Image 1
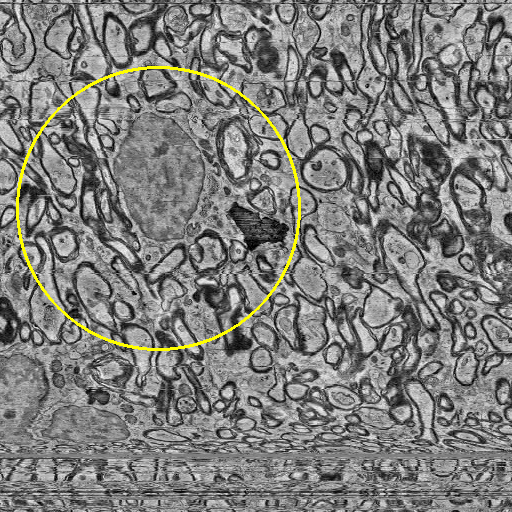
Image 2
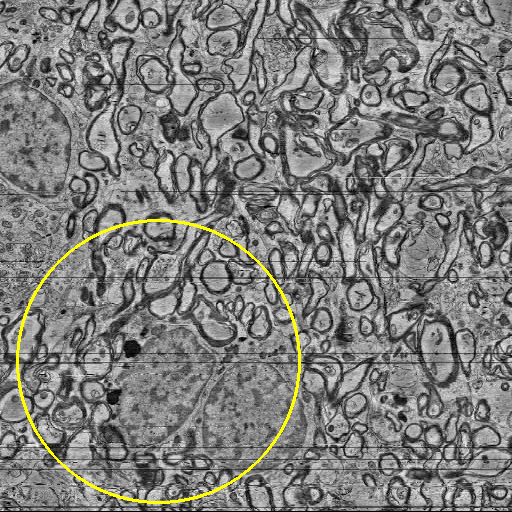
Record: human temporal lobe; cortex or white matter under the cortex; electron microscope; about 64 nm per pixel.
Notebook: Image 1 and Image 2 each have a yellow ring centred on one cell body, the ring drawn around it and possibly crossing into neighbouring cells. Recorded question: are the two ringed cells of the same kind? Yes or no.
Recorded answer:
yes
